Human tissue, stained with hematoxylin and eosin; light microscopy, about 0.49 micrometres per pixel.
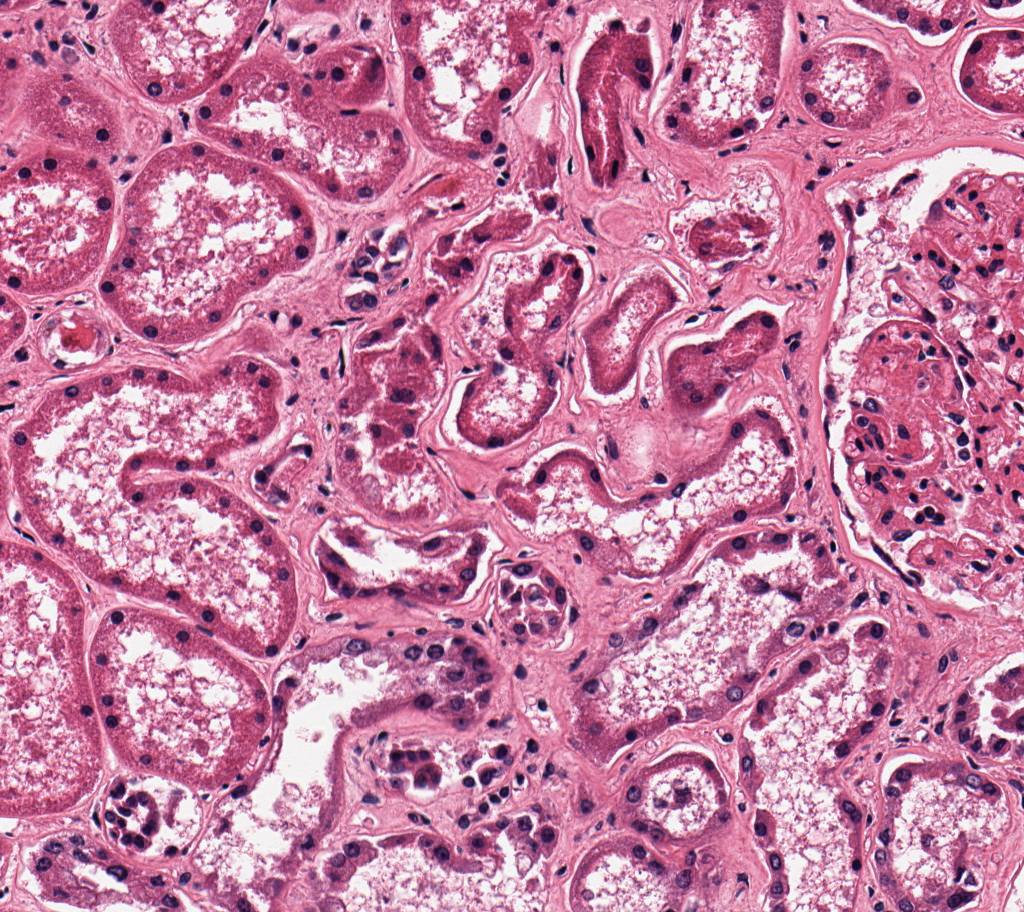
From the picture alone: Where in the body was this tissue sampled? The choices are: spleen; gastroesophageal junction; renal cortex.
renal cortex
